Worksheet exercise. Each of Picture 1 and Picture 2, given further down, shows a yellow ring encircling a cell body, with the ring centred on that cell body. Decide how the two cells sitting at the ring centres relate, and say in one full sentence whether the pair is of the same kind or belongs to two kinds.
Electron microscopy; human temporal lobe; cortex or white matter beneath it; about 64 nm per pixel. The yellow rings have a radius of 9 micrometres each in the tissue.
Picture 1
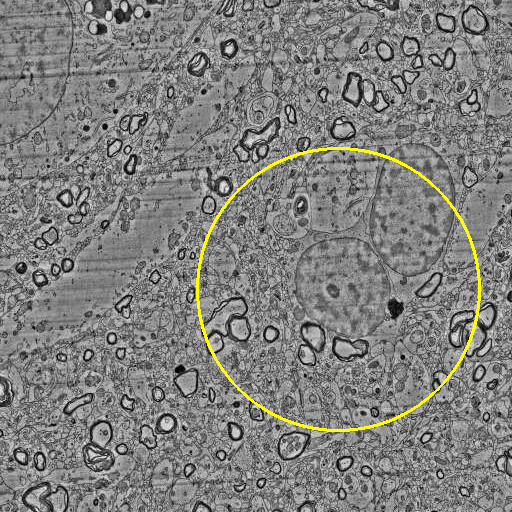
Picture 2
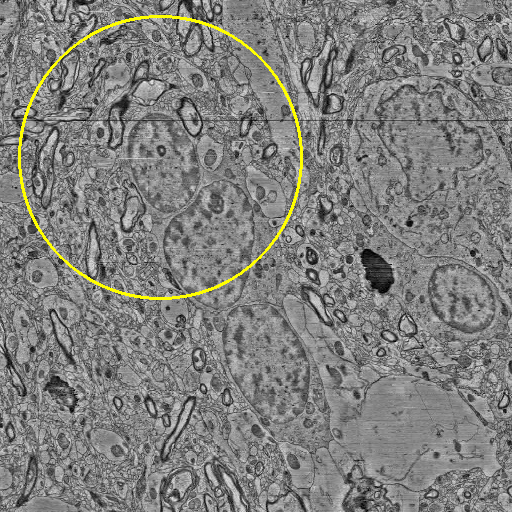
The cells at the ring centres in Picture 1 and Picture 2 are of the same kind.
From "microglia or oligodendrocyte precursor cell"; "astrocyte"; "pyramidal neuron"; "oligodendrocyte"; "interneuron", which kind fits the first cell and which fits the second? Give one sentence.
In both pictures the ring is centred on an oligodendrocyte.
